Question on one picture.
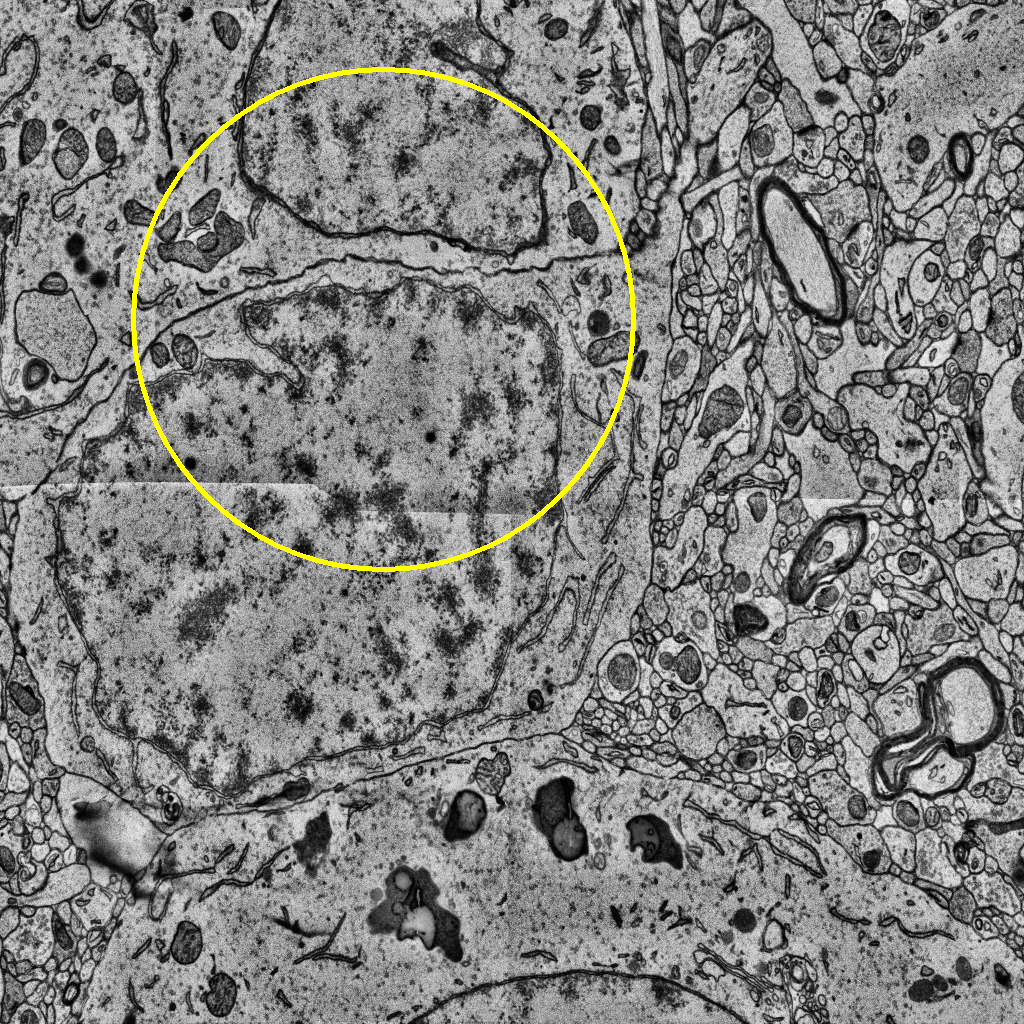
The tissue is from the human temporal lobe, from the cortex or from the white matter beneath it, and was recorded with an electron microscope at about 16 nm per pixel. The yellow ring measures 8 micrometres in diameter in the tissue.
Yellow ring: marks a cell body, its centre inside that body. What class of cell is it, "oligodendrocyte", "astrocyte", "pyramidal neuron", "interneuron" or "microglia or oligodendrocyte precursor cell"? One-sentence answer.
This is an interneuron, the cell at the ring's centre.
